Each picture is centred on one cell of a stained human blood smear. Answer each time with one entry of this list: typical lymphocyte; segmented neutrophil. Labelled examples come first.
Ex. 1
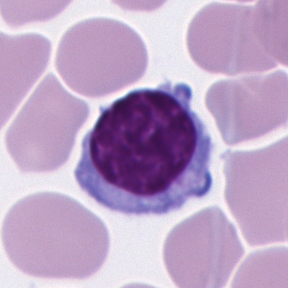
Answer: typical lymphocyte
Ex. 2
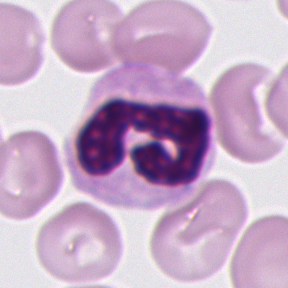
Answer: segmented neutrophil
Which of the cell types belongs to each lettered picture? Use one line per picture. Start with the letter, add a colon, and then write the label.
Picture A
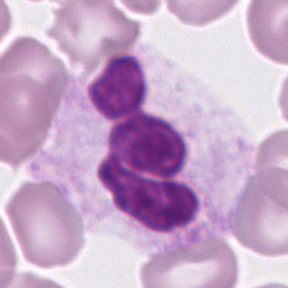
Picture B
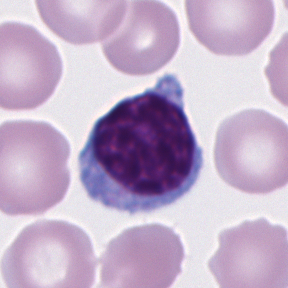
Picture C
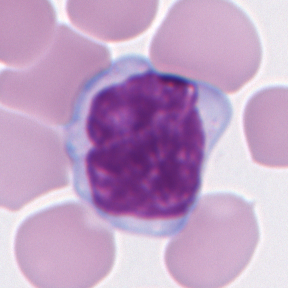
A: segmented neutrophil
B: typical lymphocyte
C: typical lymphocyte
